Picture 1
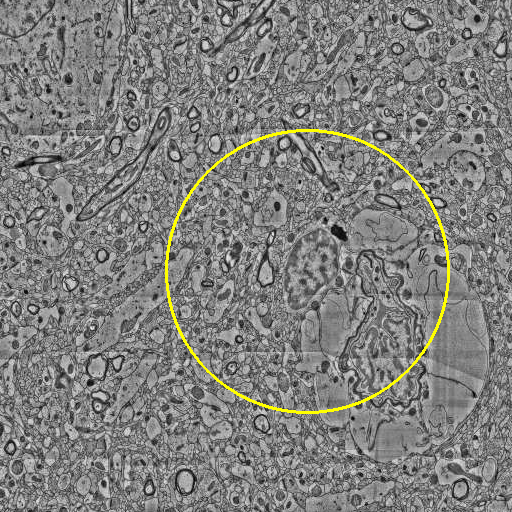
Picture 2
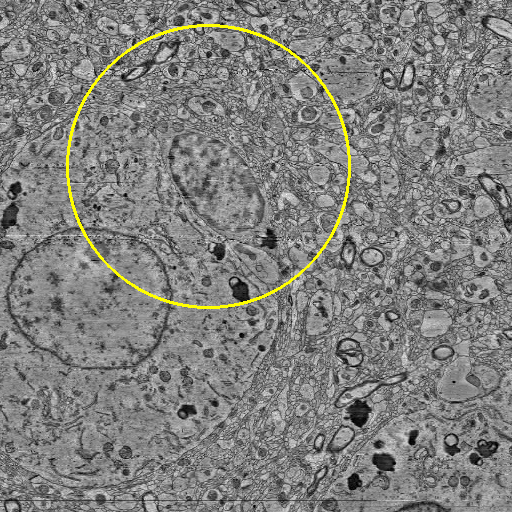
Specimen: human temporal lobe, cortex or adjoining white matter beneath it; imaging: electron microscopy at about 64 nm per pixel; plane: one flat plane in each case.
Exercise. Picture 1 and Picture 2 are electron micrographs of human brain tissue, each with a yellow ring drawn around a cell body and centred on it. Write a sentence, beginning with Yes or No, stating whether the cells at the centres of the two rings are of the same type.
Yes, the cells at the centres of both rings are of the same type.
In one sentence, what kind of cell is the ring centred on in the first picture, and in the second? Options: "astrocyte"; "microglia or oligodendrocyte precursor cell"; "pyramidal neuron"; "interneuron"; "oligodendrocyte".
Both the first and the second picture show an oligodendrocyte in the ring.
